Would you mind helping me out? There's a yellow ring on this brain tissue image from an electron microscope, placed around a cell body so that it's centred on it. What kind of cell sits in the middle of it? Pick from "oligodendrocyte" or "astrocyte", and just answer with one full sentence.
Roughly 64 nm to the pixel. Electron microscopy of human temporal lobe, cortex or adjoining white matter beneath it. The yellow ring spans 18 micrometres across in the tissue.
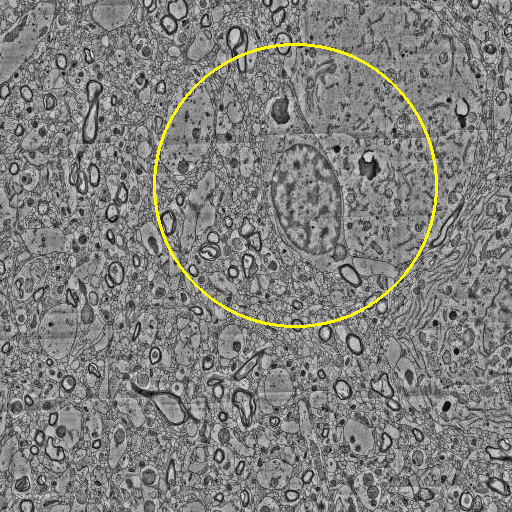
What sits in the middle of that yellow ring is an oligodendrocyte, from your choices.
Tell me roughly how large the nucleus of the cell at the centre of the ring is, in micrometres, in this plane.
About 7 by 4 micrometres; in this plane the nucleus is clearly longer than it is wide.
